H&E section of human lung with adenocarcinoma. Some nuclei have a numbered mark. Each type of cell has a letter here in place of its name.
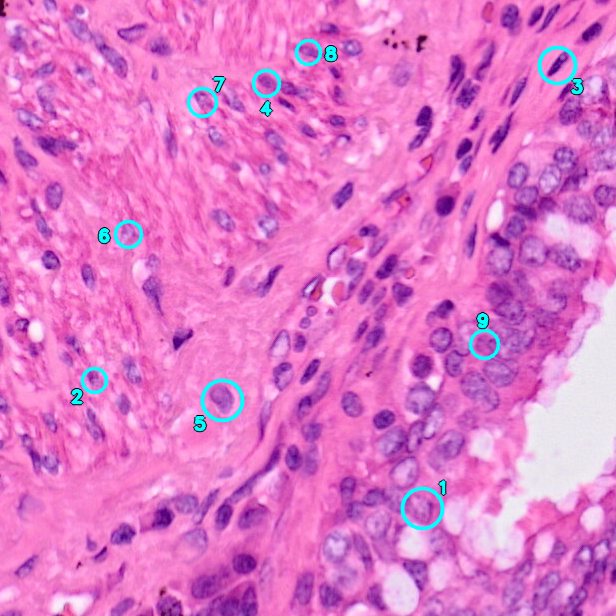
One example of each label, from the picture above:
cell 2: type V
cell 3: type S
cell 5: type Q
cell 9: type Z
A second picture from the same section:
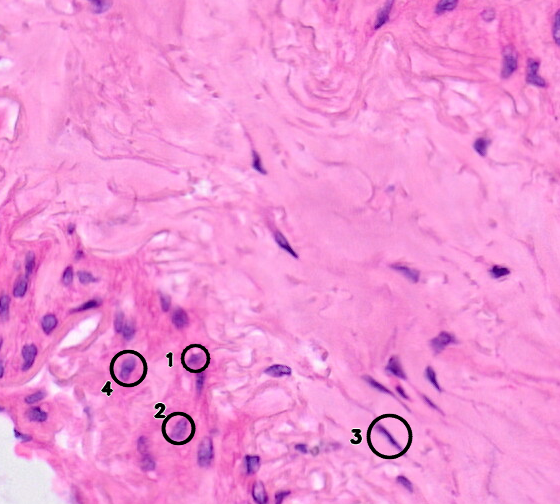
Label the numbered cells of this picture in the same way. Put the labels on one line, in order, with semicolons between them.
type V; type V; type Q; type V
